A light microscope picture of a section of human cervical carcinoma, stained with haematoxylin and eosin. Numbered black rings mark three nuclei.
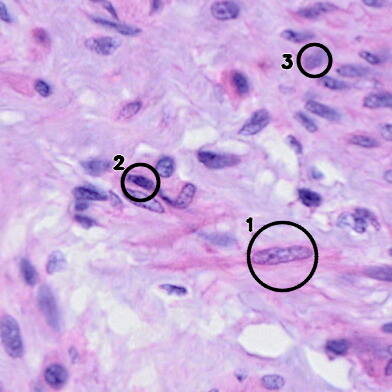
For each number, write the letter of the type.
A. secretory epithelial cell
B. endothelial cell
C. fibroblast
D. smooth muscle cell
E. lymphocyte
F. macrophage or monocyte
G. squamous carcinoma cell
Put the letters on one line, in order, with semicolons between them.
D; B; D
